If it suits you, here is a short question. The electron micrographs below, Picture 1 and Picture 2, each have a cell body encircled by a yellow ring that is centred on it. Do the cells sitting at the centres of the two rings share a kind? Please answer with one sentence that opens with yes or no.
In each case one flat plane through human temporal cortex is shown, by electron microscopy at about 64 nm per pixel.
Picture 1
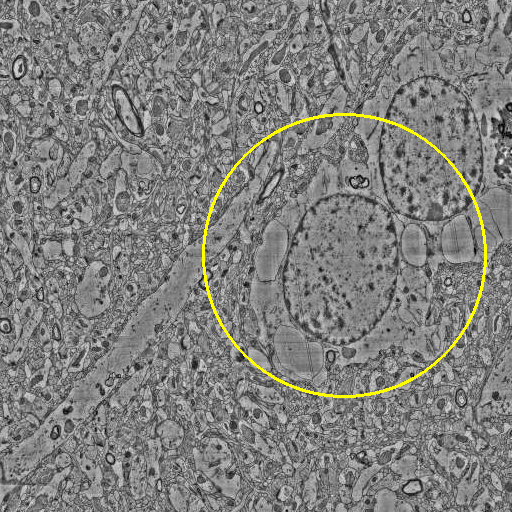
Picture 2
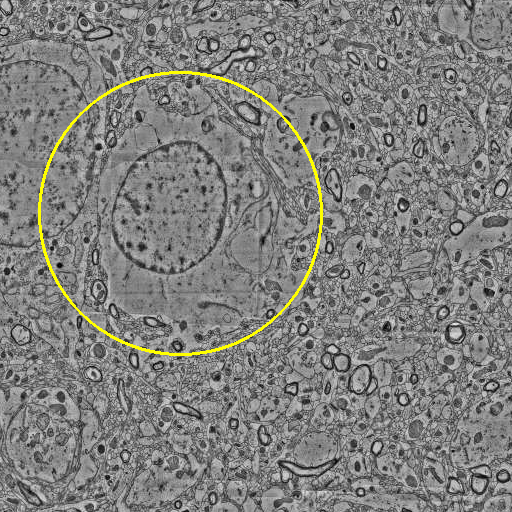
Yes, the two cells sitting at the ring centres share a single kind.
